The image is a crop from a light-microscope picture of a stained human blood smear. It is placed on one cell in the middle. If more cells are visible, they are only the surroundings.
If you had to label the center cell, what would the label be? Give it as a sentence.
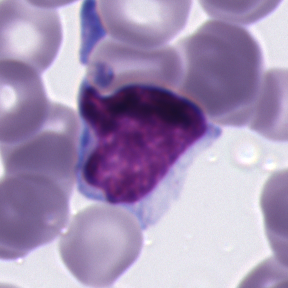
In the center of this field lies a lymphocyte.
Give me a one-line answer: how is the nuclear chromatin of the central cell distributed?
Answer: the chromatin in this nucleus is coarsely clumped.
